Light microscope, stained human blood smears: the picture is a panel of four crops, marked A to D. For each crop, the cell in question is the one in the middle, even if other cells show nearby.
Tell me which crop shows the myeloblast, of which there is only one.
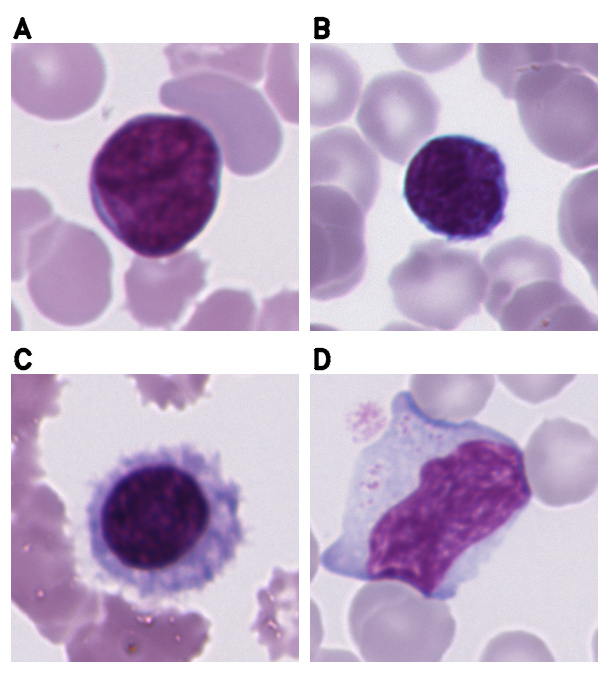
A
